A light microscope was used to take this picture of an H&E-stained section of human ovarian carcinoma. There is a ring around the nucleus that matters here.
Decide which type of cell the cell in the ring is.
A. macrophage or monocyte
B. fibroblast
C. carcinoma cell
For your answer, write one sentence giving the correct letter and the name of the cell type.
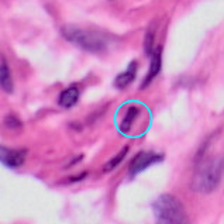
That the cell in the ring is a fibroblast makes option B the correct choice.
